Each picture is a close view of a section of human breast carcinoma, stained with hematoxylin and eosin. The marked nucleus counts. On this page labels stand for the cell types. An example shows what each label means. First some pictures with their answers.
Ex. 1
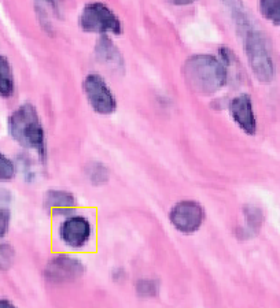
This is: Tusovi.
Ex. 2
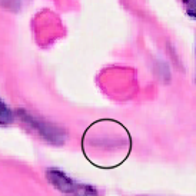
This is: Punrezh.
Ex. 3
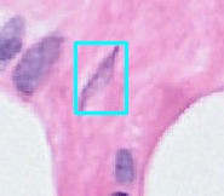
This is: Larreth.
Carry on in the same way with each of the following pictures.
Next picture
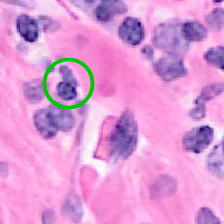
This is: Tusovi.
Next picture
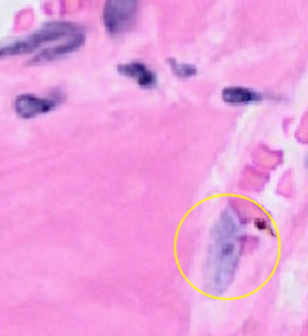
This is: Punrezh.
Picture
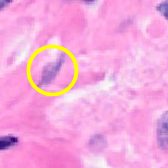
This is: Larreth.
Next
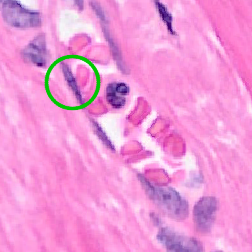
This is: Punrezh.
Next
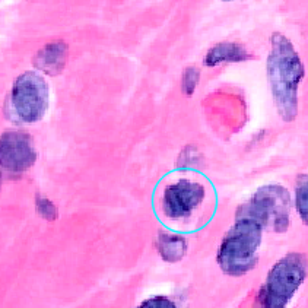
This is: Tusovi.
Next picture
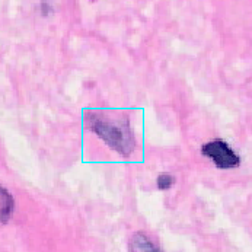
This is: Larreth.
